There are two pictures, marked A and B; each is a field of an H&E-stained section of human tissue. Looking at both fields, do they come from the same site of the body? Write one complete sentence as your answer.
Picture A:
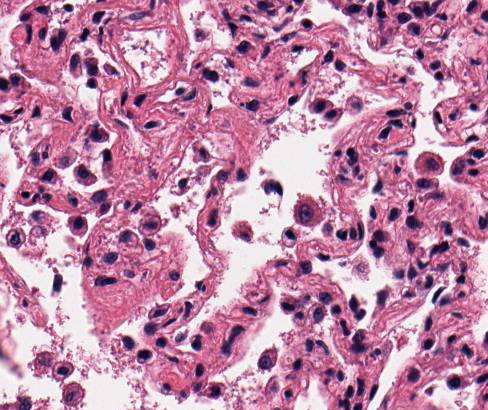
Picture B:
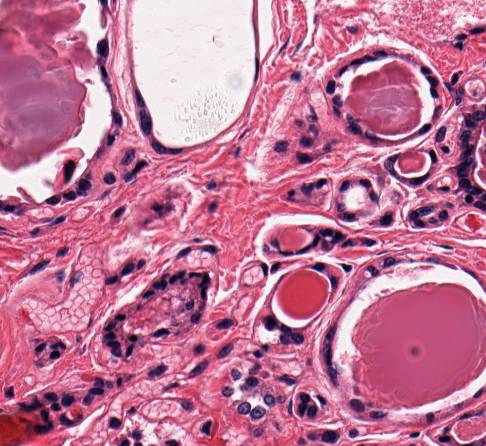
No: picture A comes from the lung, but picture B comes from the thyroid.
